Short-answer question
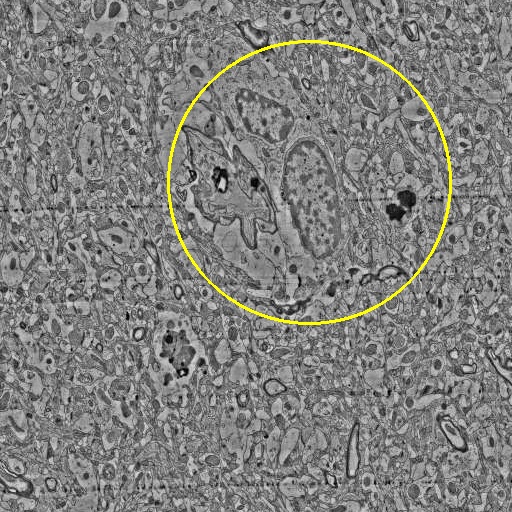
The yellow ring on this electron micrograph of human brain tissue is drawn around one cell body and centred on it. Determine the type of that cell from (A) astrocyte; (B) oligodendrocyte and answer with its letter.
B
